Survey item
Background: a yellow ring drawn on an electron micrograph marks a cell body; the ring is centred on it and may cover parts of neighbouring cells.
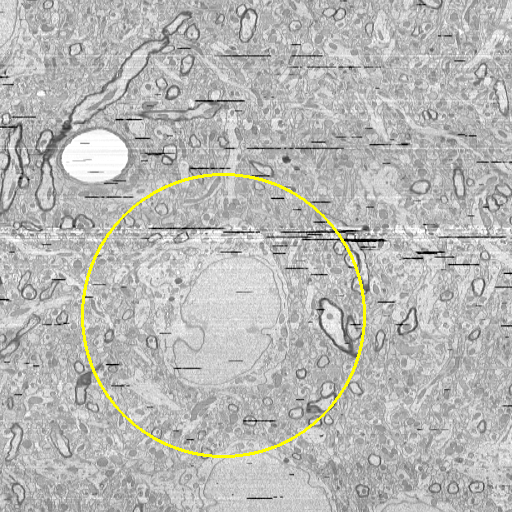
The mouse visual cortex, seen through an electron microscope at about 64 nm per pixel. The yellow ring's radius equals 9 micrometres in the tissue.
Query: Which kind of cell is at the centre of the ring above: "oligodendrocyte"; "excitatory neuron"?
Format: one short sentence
The cell in the middle of the ring is an excitatory neuron.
